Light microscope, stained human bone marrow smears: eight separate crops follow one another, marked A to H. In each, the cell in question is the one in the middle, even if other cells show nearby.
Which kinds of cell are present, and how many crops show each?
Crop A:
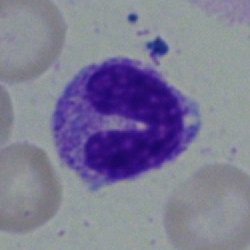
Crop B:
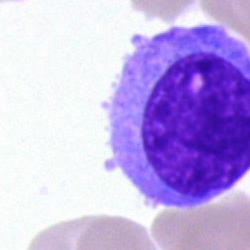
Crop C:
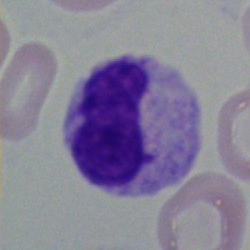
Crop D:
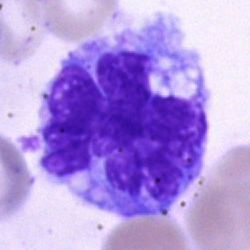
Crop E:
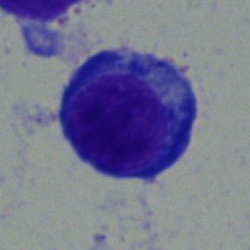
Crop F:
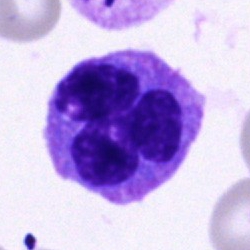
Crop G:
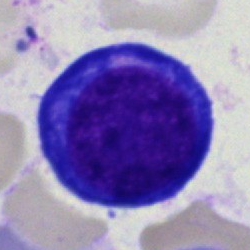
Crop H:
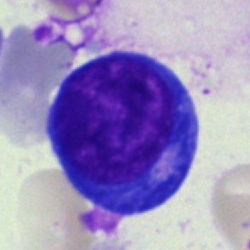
monocyte: 3
proerythroblast: 3
band neutrophil: 2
